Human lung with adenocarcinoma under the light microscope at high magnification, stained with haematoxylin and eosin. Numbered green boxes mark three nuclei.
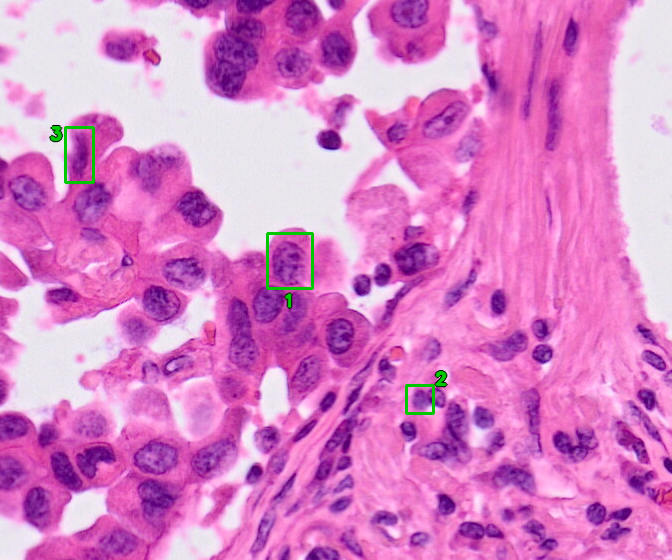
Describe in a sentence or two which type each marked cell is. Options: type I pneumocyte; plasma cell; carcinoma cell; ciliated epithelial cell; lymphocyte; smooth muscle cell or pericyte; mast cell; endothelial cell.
Cell 1 is a carcinoma cell, cell 2 is a lymphocyte and cell 3 is a carcinoma cell.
